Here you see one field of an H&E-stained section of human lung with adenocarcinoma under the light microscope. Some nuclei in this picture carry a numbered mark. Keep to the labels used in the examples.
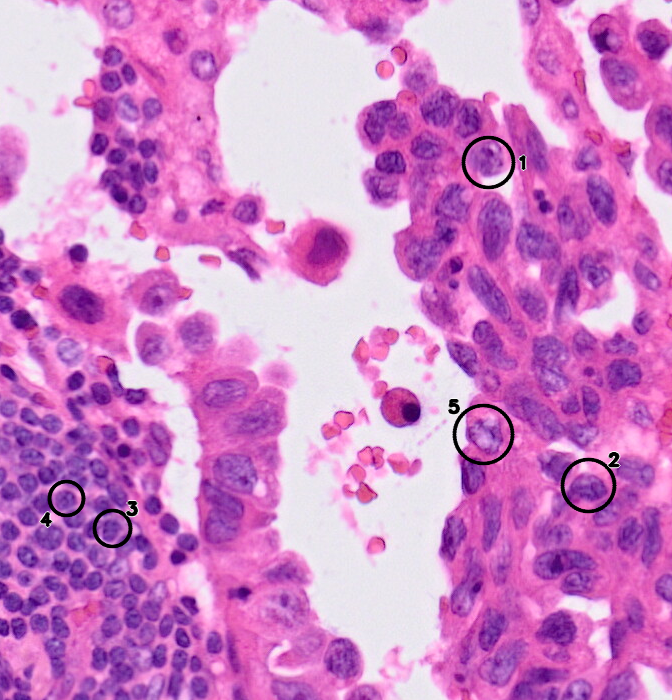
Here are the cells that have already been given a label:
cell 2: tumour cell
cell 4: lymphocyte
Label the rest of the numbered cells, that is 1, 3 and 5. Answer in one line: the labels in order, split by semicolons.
tumour cell; lymphocyte; tumour cell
